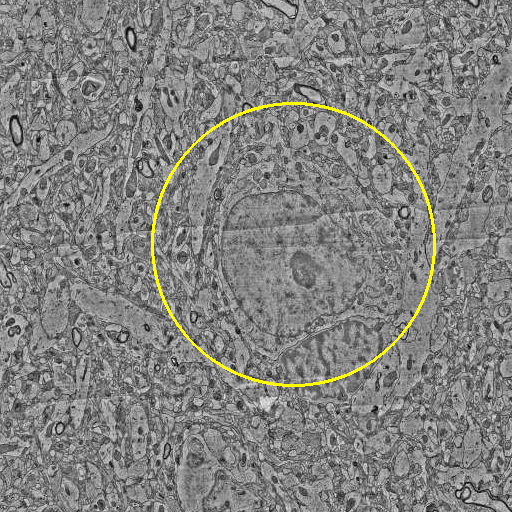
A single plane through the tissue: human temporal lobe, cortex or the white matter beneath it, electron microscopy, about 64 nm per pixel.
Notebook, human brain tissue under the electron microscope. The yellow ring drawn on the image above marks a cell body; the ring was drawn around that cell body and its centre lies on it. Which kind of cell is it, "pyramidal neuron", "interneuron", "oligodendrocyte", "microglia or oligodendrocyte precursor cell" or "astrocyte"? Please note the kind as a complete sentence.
The marked cell body is that of an interneuron.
